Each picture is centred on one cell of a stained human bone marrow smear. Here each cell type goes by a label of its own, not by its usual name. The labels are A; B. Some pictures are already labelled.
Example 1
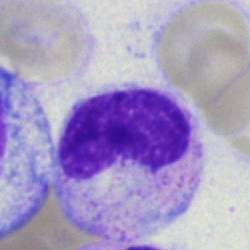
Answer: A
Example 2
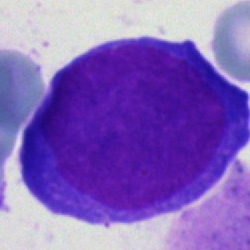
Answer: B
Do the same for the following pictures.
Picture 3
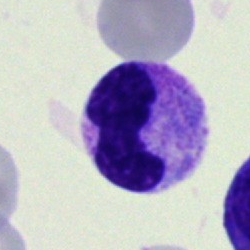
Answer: A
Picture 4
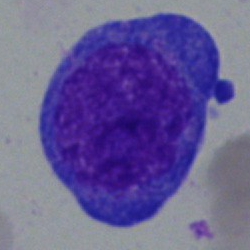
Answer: B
